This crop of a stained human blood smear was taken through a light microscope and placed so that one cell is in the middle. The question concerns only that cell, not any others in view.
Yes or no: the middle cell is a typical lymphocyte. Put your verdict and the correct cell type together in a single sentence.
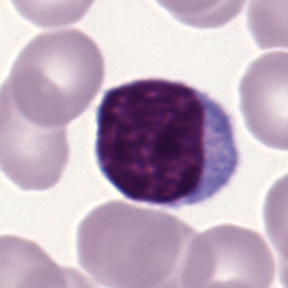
Yes, the cell at the centre of the field is a typical lymphocyte.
